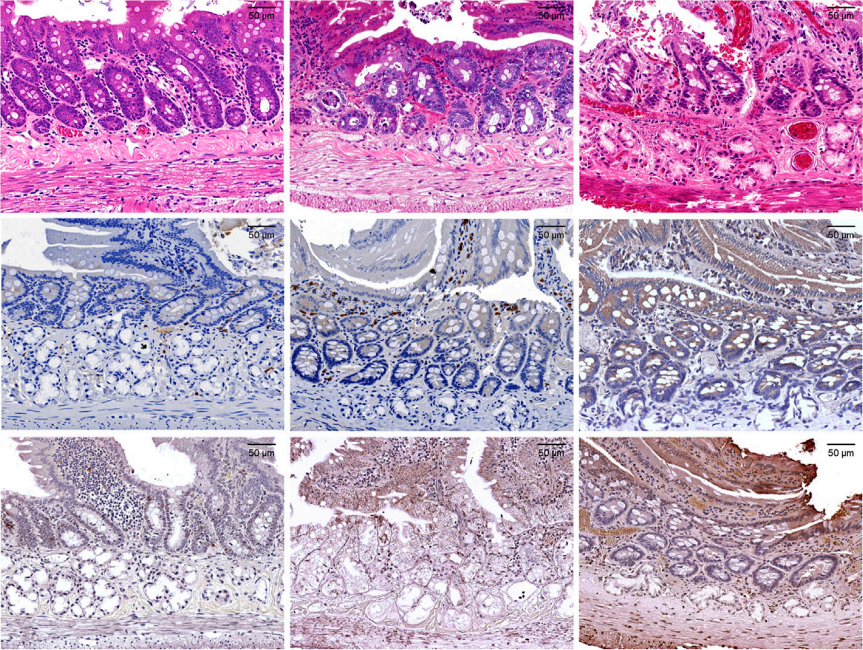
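These sections of the duodenal wall show the mucosa with villi and tubular intestinal glands lined by columnar epithelium with many pale goblet cells, and beneath it a layer of pale, foamy duodenal glands resting on pink smooth muscle. In the last row, brown staining is faint on the left and becomes broad and intense across the surface epithelium and wall on the right.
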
